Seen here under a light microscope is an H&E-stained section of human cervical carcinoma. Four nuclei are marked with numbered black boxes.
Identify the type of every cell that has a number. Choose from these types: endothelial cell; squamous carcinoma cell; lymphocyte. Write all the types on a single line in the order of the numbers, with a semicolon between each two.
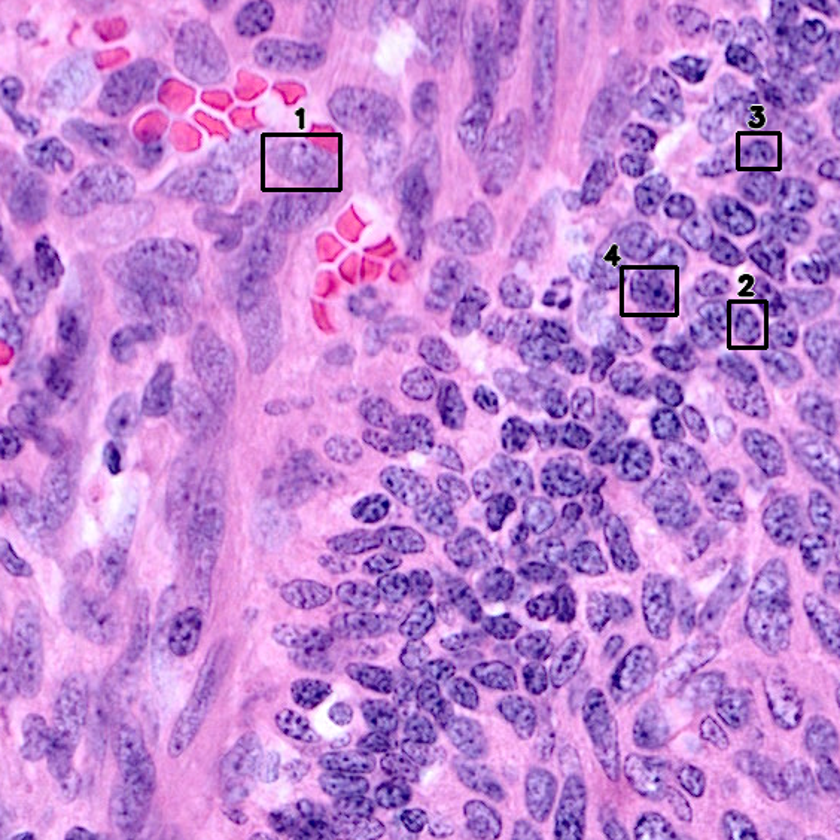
endothelial cell; squamous carcinoma cell; squamous carcinoma cell; squamous carcinoma cell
